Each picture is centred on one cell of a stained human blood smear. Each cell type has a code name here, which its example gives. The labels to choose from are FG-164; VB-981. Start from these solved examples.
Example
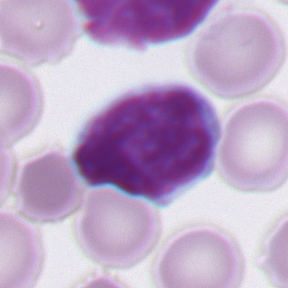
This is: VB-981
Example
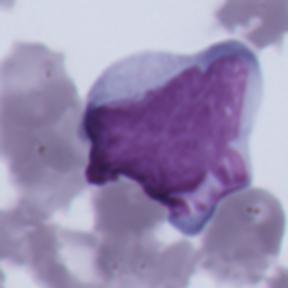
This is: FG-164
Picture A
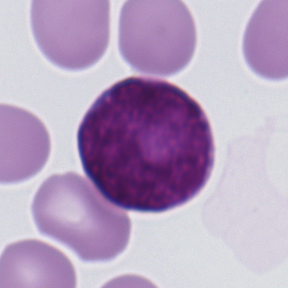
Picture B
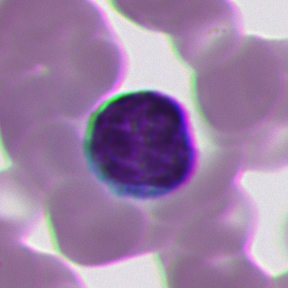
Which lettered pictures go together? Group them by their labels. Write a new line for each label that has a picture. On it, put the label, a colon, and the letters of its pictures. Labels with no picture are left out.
FG-164: A
VB-981: B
